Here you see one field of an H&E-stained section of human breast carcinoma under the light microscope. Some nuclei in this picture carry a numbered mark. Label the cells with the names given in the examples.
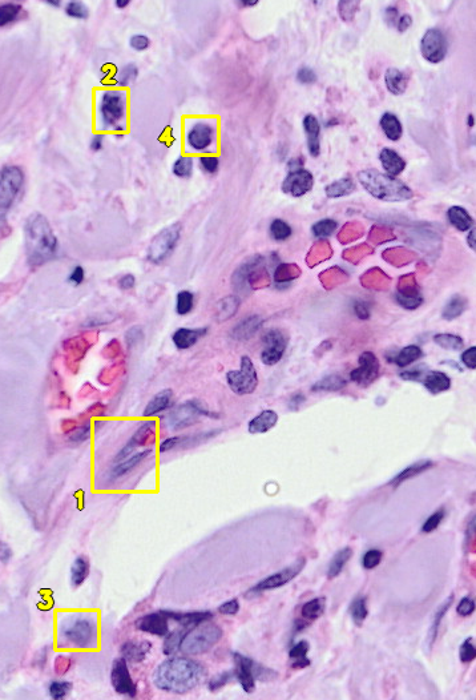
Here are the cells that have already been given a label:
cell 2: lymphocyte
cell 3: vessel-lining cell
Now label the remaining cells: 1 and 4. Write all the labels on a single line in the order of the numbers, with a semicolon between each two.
vessel-lining cell; lymphocyte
